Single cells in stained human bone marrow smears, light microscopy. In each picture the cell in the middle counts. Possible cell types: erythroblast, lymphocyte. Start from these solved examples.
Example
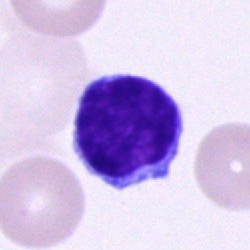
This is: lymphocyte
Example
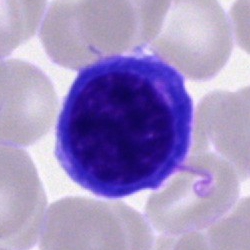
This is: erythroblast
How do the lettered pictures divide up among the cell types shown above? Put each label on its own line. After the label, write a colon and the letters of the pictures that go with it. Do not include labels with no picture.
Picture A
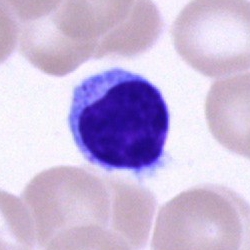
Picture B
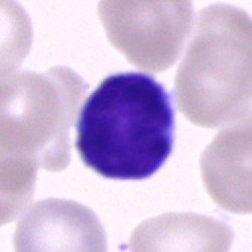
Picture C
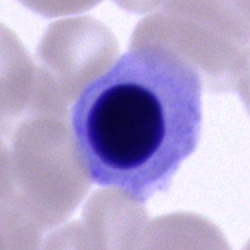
erythroblast: C
lymphocyte: A, B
